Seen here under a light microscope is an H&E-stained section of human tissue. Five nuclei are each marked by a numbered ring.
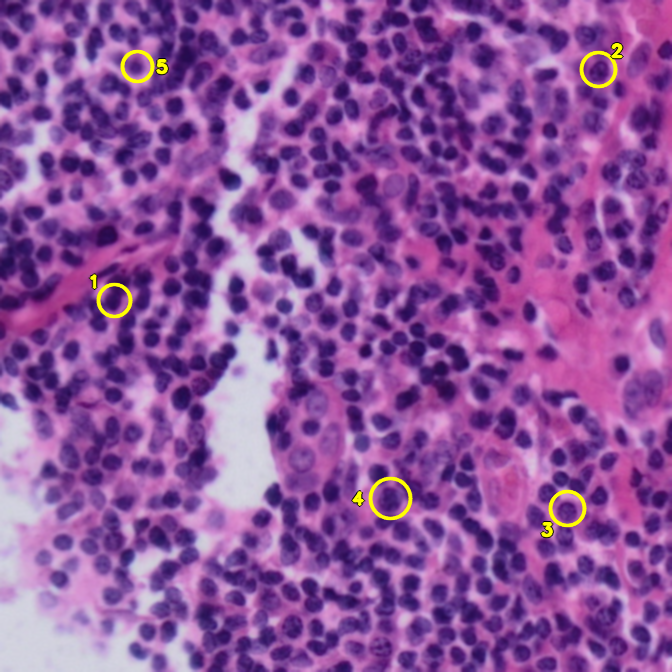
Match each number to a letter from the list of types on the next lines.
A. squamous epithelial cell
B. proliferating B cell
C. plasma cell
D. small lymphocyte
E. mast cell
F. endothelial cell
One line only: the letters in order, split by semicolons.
D; C; C; B; D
